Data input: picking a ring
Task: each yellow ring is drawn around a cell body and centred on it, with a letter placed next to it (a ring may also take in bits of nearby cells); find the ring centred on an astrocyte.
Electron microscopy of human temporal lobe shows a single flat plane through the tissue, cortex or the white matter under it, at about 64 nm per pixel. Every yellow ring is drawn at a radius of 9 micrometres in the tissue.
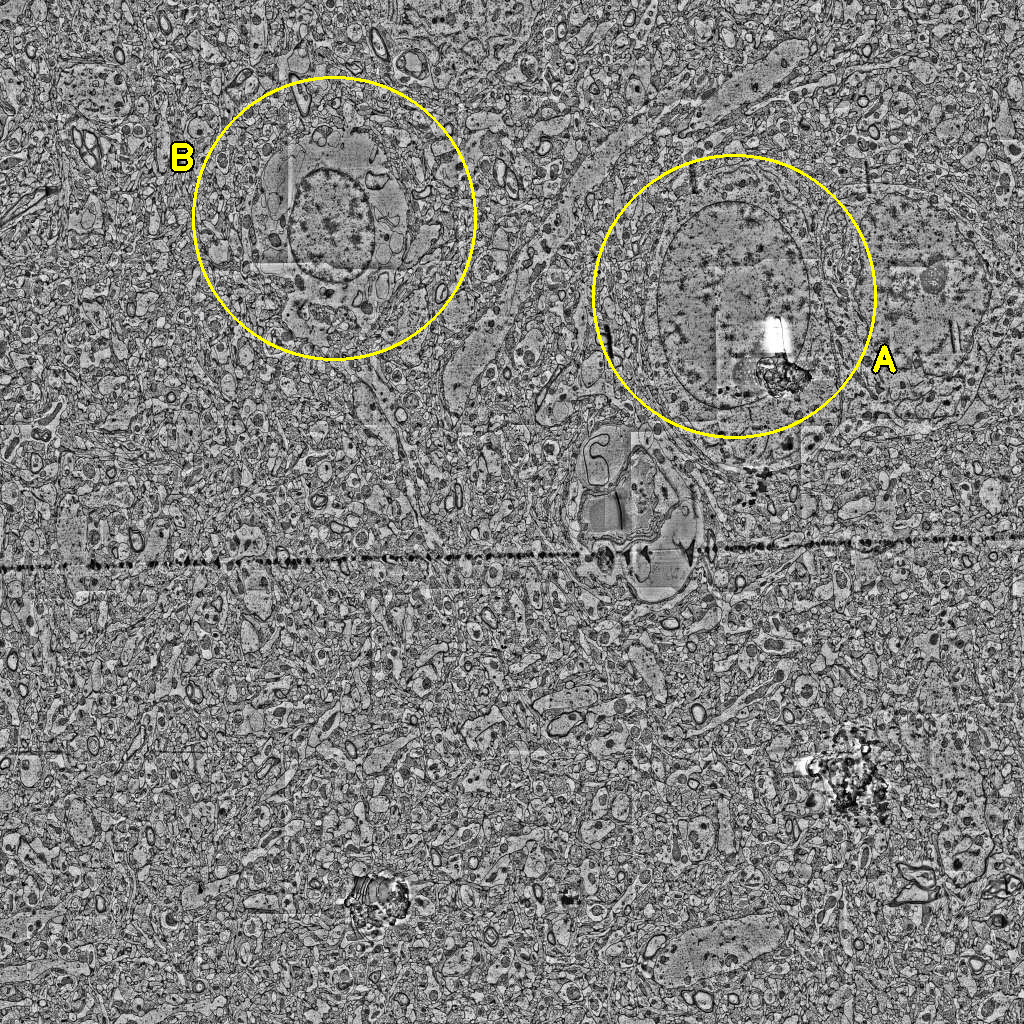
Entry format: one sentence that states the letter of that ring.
In the picture, the cell asked for sits at the centre of ring B.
